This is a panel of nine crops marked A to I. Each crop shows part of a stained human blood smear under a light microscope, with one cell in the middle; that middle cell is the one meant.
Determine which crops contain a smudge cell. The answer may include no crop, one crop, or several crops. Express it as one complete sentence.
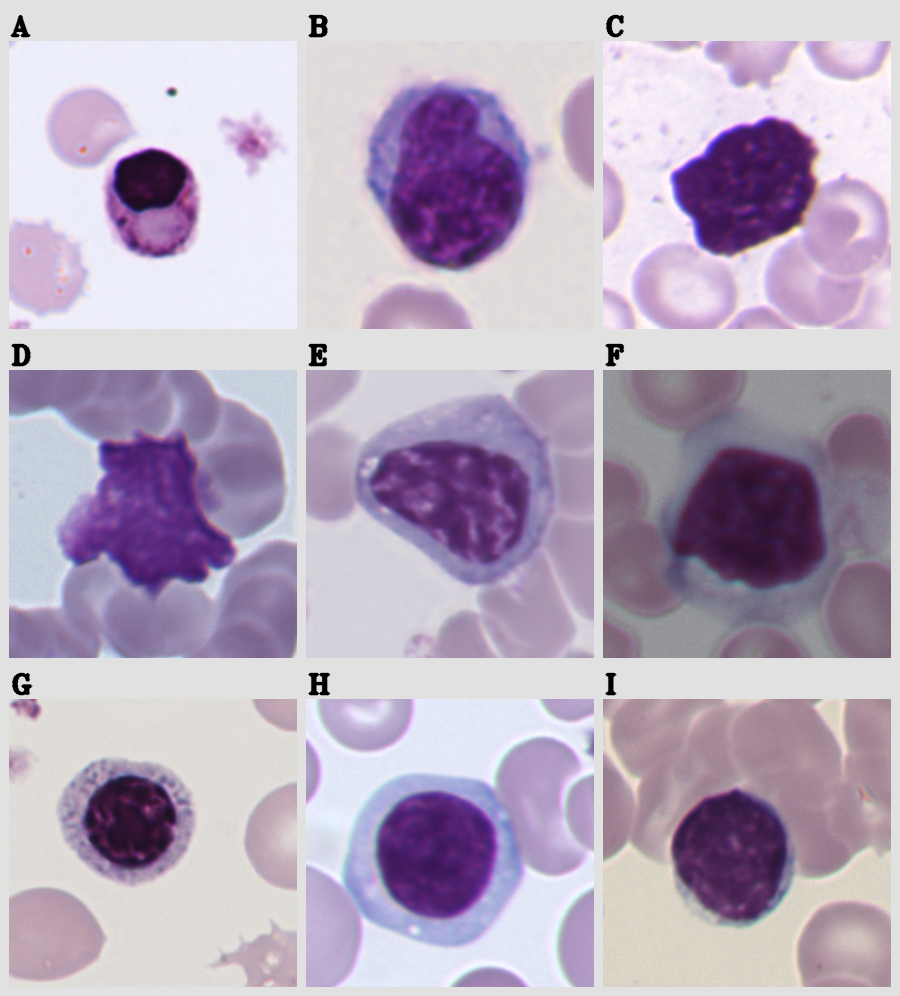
Classified as smudge cells are the central cells of crops C and D.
